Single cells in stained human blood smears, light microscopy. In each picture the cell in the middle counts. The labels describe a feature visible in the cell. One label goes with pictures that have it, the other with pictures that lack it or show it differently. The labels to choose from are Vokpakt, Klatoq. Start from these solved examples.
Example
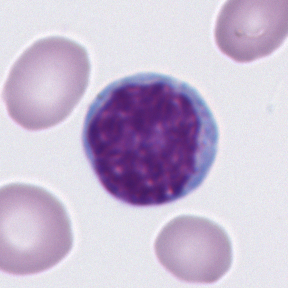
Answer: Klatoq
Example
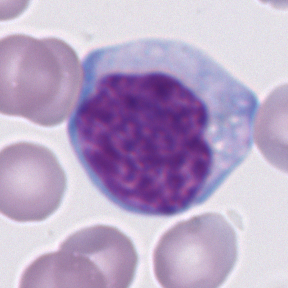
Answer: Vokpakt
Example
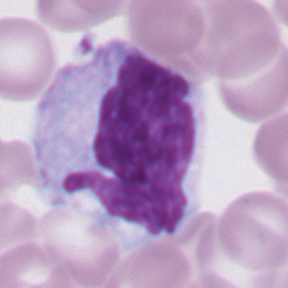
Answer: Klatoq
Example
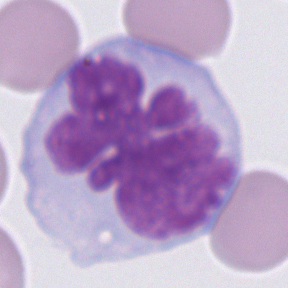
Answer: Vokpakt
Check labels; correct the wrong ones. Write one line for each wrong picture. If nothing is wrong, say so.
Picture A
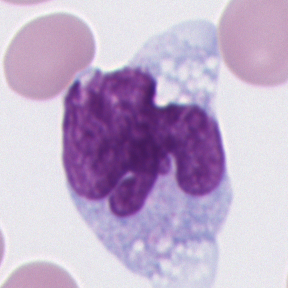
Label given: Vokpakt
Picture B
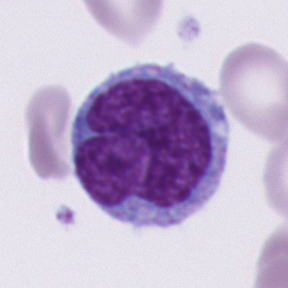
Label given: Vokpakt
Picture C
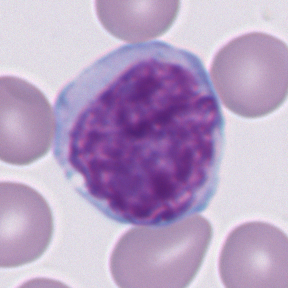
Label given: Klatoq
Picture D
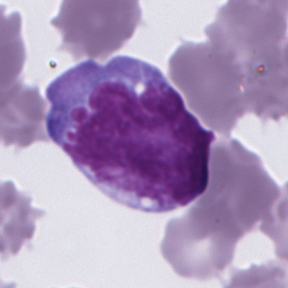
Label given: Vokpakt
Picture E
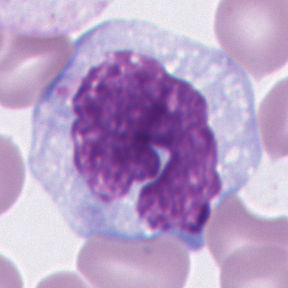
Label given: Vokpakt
B: change Vokpakt to Klatoq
